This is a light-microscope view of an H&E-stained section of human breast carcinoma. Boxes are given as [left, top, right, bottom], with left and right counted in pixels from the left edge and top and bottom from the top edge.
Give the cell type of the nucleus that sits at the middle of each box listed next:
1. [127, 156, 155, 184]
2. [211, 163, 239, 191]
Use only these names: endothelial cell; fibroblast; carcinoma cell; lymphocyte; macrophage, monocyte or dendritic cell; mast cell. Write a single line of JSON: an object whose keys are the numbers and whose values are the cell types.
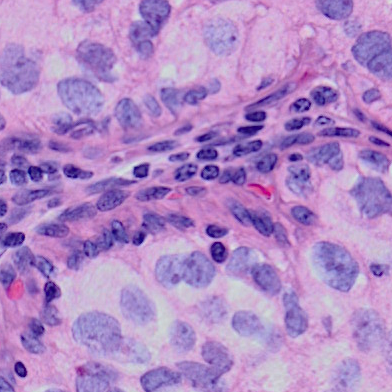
{"1": "lymphocyte", "2": "endothelial cell"}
